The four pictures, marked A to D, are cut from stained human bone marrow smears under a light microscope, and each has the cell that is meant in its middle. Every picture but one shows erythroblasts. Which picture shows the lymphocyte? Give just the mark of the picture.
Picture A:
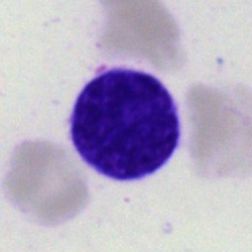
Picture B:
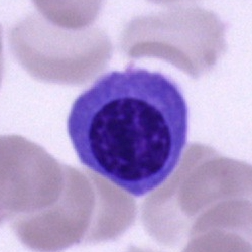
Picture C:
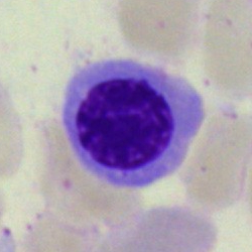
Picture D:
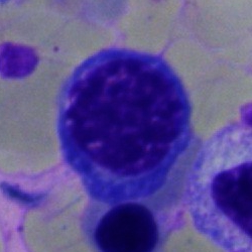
A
